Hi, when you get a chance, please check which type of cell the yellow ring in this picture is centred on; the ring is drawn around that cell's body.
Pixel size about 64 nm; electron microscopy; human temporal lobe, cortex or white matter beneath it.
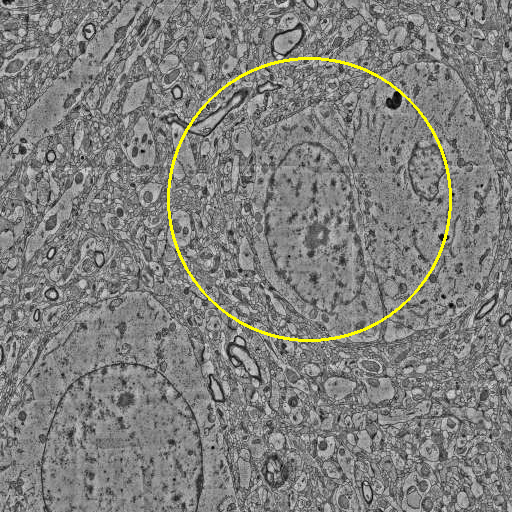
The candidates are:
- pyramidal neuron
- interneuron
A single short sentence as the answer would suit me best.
The ring is drawn around the body of an interneuron.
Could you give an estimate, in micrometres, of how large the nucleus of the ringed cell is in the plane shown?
The nucleus measures about 11 by 6 micrometres, so it is clearly longer than it is wide in this plane.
